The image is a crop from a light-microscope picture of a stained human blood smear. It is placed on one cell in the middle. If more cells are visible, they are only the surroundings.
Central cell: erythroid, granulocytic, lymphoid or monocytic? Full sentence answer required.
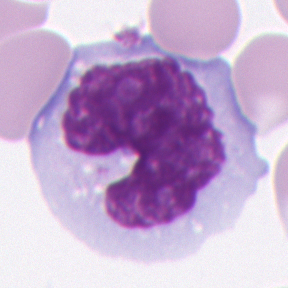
Lineage assignment for the central cell is monocytic.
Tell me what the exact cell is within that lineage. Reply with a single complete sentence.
The middle position in this crop is taken by a monocyte.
